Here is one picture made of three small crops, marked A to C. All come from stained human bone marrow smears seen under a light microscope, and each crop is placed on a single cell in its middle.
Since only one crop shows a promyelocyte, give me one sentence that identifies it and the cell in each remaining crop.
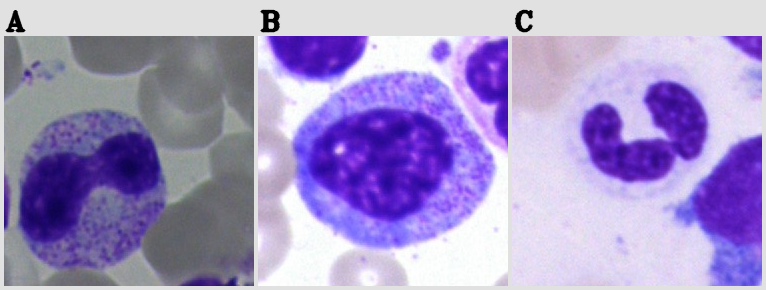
While crop A is a band neutrophil and crop C is a segmented neutrophil, crop B shows a promyelocyte.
